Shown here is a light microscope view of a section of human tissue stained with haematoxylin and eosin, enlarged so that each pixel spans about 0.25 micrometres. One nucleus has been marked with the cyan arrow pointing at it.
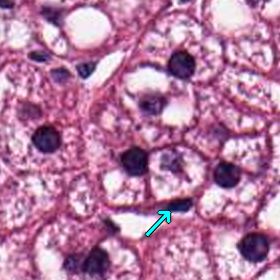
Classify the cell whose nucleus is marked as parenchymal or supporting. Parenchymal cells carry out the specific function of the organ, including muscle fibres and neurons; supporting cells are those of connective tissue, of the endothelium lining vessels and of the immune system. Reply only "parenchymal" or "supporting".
supporting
